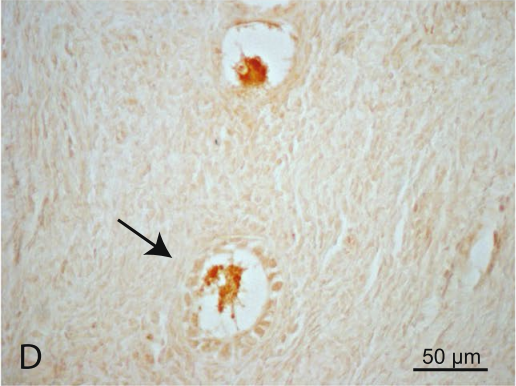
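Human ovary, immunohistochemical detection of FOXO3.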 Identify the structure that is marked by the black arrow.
Primary follicle.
